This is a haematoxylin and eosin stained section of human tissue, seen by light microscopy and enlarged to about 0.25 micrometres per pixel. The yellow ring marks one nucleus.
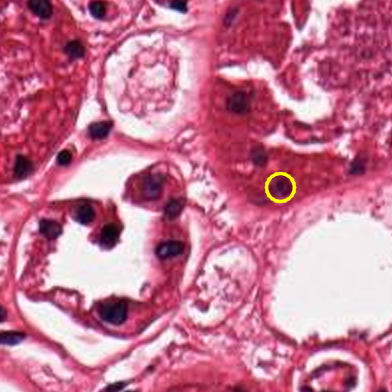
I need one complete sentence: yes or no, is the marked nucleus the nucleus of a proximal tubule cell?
Yes, in this section the marked nucleus belongs to a proximal tubule cell.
